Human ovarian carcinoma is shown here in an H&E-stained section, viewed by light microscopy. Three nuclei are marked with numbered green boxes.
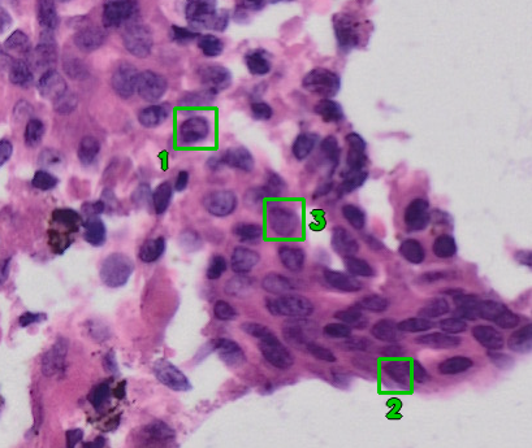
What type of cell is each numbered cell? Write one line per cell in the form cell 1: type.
cell 1: macrophage or monocyte
cell 2: carcinoma cell
cell 3: carcinoma cell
